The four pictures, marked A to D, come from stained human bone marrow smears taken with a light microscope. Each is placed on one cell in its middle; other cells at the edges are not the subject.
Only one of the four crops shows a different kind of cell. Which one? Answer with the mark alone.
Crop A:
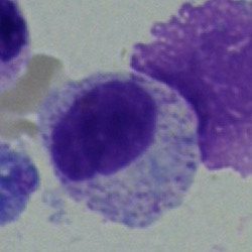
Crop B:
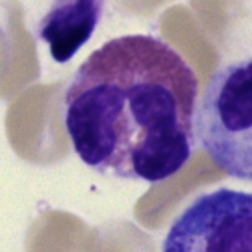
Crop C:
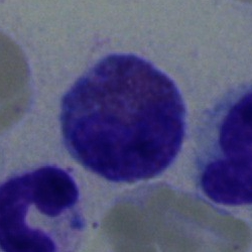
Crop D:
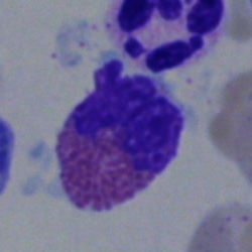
A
